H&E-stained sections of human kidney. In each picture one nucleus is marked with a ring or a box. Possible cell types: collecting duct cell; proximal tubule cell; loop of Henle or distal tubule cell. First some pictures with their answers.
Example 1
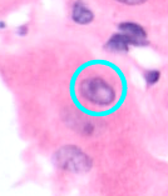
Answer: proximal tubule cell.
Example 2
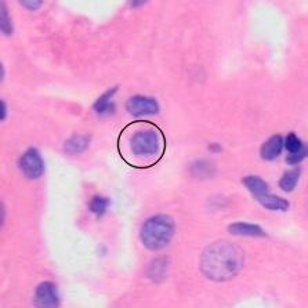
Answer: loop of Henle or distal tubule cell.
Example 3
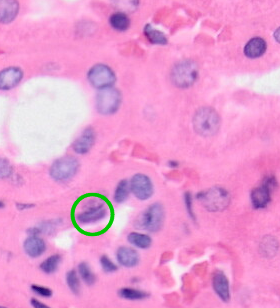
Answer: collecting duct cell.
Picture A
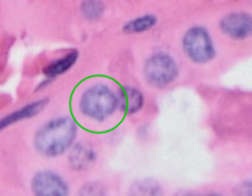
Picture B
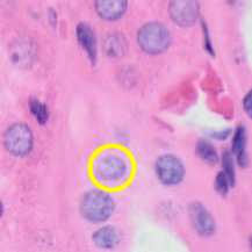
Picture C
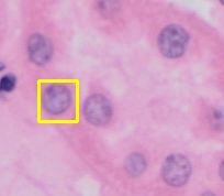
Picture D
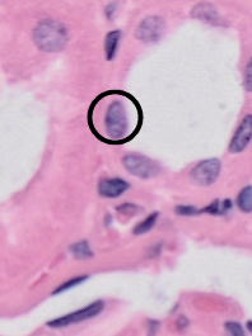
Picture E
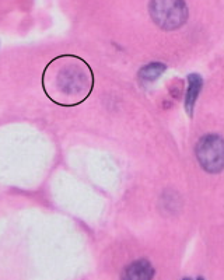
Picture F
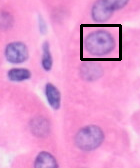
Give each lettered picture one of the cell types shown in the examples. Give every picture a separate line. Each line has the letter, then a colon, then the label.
A: collecting duct cell.
B: collecting duct cell.
C: proximal tubule cell.
D: loop of Henle or distal tubule cell.
E: proximal tubule cell.
F: proximal tubule cell.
